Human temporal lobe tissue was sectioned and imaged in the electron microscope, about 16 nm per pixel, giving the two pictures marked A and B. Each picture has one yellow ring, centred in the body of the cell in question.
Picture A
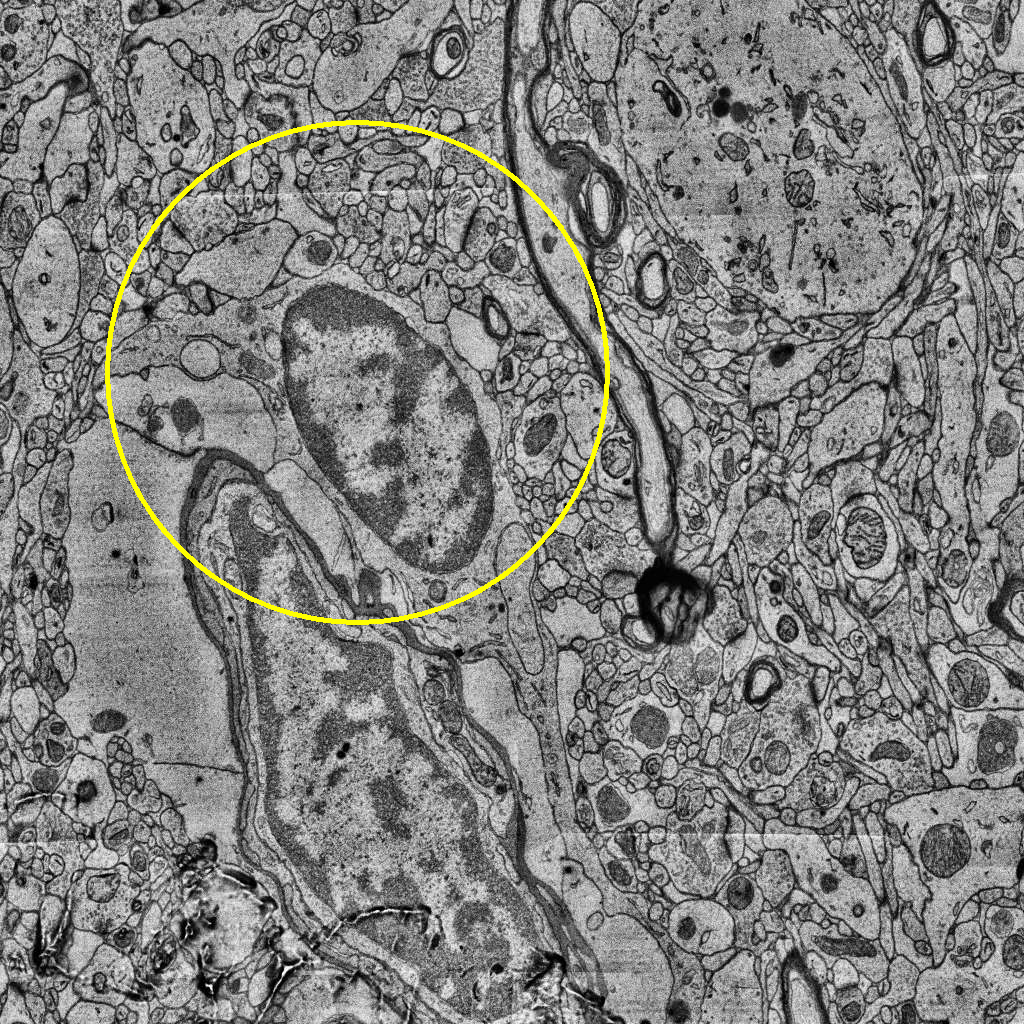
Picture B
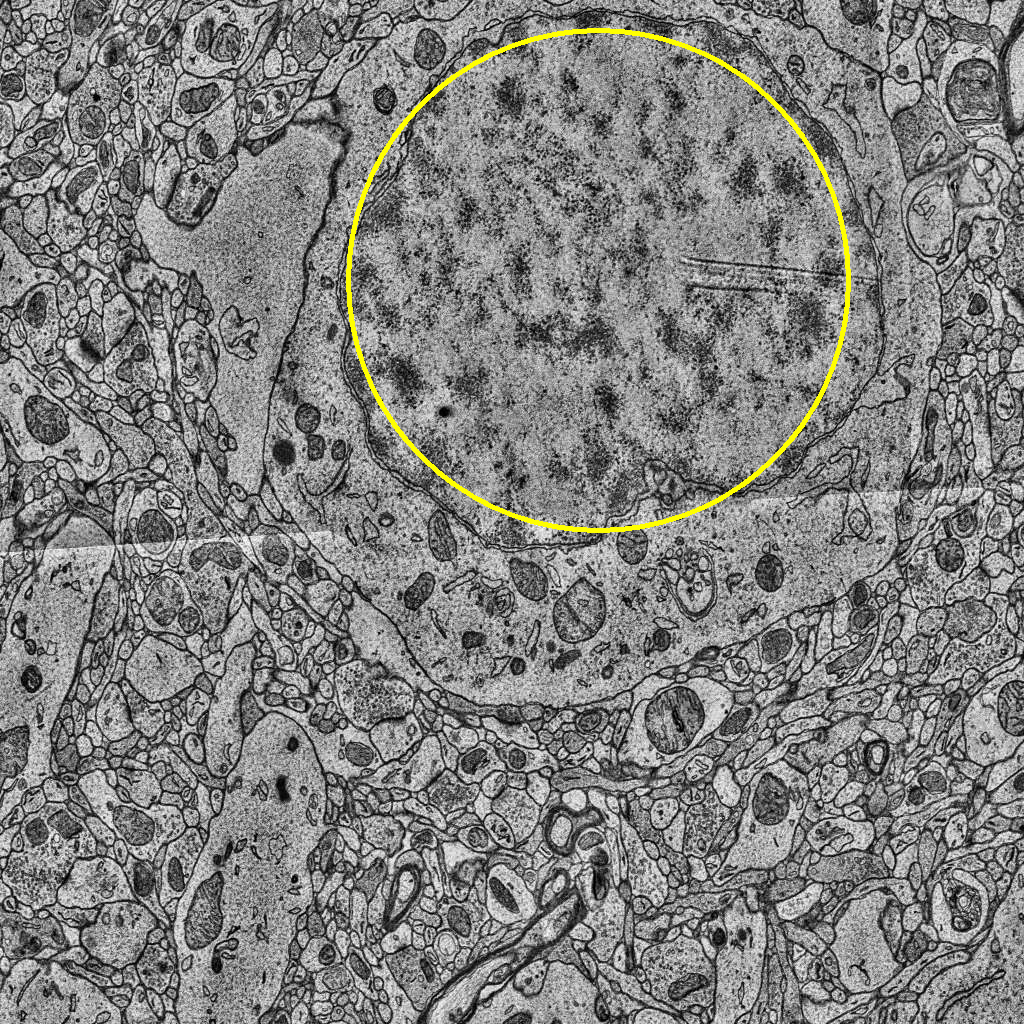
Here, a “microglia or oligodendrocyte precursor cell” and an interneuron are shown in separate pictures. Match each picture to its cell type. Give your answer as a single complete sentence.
Picture B shows an interneuron, while picture A shows a “microglia or oligodendrocyte precursor cell”.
